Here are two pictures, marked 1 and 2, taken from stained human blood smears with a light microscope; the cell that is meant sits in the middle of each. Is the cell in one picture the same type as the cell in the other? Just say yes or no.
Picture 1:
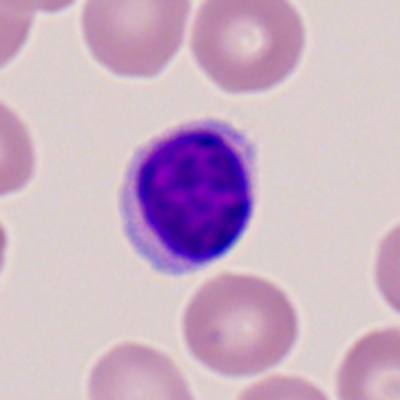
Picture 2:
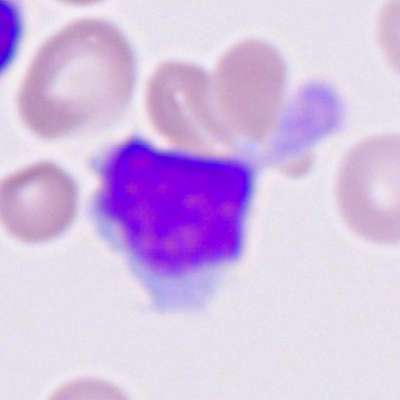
yes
